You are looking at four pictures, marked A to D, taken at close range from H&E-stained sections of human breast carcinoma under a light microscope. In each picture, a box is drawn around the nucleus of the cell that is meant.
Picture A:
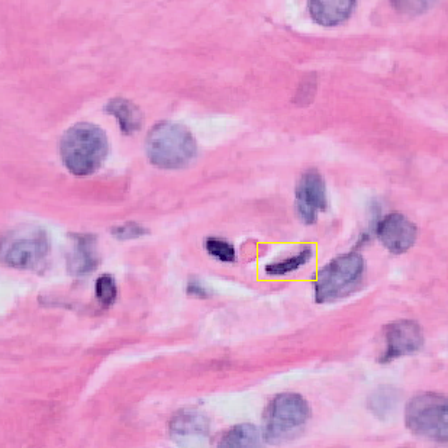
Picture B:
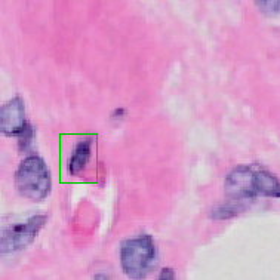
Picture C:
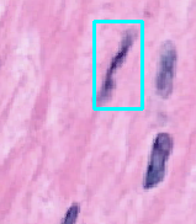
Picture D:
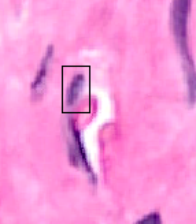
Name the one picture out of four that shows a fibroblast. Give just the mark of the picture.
C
